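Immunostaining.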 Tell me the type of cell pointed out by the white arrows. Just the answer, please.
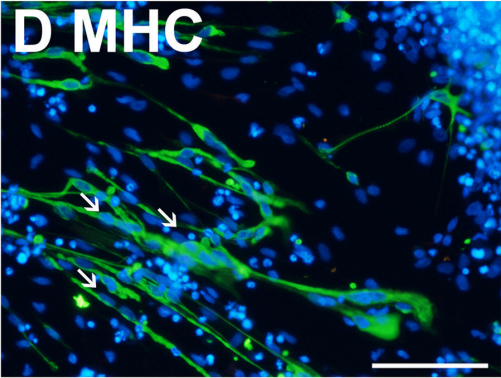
myotubes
